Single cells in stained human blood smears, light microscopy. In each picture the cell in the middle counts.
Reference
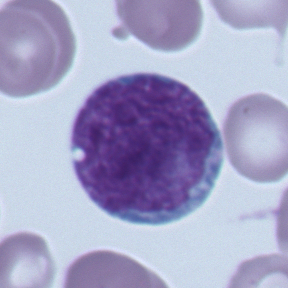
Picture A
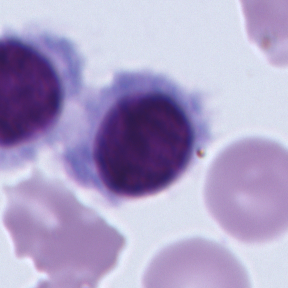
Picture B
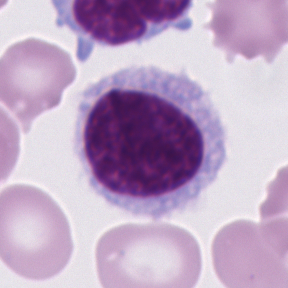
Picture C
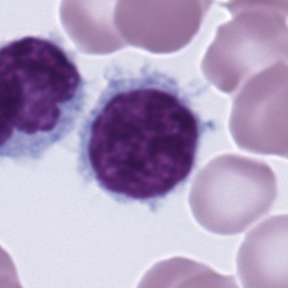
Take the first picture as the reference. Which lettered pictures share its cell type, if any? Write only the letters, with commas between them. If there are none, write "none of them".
none of them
